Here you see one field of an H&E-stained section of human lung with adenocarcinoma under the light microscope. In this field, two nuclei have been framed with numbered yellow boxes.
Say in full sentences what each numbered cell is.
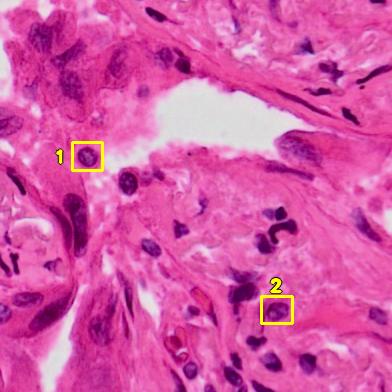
Cell 1 is a lymphocyte. Cell 2 is a plasma cell.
